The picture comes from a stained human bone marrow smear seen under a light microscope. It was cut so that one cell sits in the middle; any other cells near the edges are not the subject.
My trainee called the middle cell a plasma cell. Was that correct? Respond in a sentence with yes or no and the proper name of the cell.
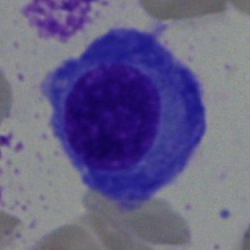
Yes, the cell that occupies the centre is a plasma cell.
